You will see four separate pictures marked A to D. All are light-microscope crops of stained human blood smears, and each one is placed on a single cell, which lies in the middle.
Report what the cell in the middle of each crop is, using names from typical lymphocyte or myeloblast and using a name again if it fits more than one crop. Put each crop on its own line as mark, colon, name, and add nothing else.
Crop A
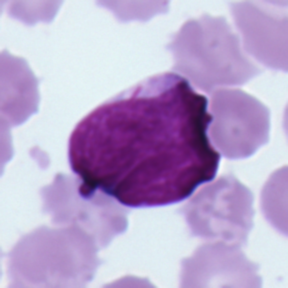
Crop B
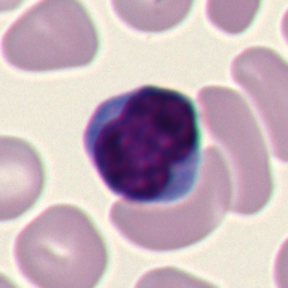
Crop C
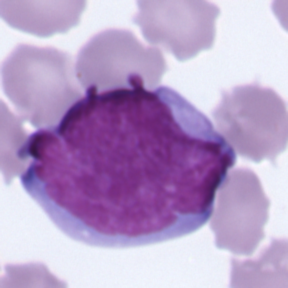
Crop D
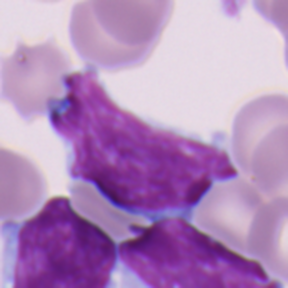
A: myeloblast
B: typical lymphocyte
C: myeloblast
D: typical lymphocyte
